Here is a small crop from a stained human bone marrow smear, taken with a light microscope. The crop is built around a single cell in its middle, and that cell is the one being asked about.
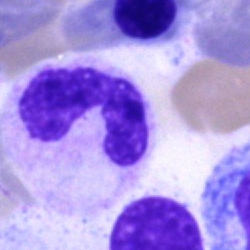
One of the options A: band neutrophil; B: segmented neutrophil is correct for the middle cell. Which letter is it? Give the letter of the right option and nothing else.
A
